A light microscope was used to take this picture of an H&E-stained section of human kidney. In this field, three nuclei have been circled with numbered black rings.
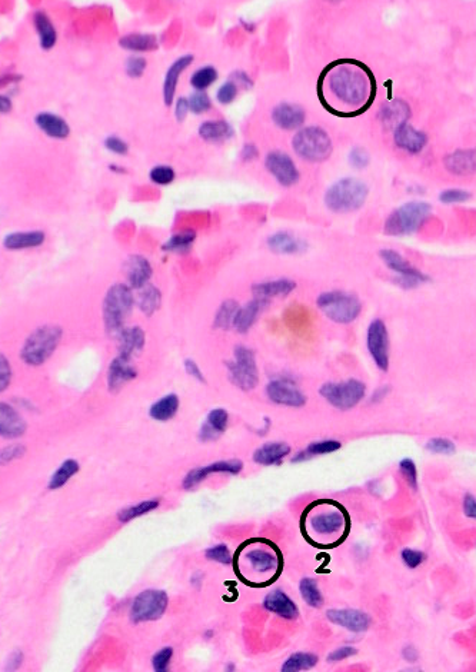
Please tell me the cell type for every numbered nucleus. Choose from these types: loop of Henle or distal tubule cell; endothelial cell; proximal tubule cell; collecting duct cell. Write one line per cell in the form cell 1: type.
cell 1: proximal tubule cell
cell 2: endothelial cell
cell 3: endothelial cell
